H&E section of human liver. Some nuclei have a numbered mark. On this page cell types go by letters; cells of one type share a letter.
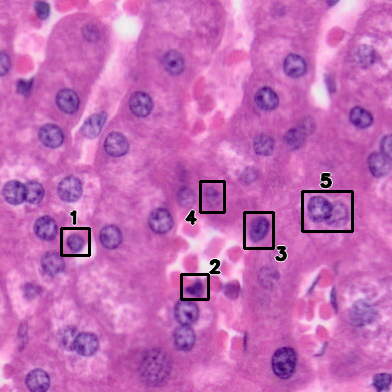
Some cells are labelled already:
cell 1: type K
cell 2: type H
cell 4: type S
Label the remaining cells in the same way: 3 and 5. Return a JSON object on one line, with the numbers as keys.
{"3": "type H", "5": "type S"}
